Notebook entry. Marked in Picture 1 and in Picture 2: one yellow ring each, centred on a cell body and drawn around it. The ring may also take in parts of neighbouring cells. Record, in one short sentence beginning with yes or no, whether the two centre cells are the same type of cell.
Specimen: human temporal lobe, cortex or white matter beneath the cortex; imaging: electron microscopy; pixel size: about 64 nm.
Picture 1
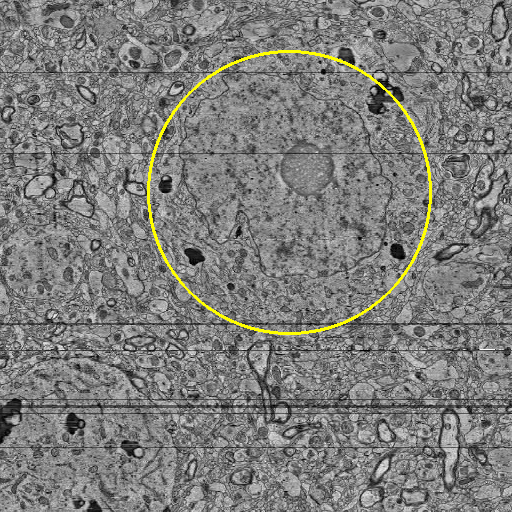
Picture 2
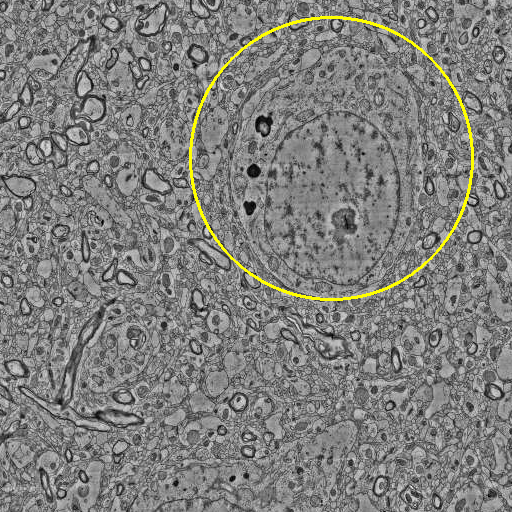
Yes, both are the same type of cell.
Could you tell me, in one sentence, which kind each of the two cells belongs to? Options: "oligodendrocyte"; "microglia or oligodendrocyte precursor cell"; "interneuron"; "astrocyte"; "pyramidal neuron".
The ring centre holds a pyramidal neuron in each of the two pictures.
